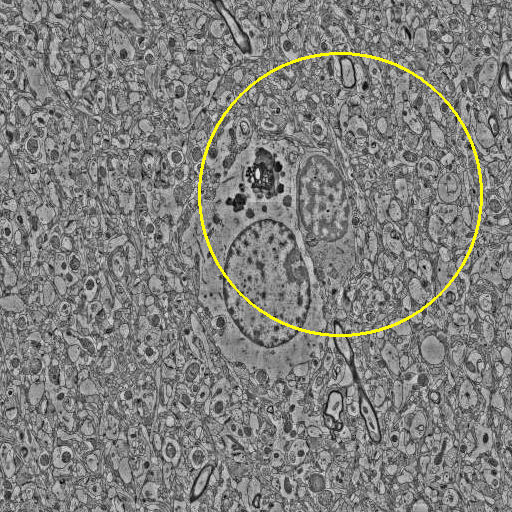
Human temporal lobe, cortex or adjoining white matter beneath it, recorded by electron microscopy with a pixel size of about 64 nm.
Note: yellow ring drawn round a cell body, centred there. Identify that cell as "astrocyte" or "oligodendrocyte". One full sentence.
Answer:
The cell in the middle of the ring is an oligodendrocyte.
